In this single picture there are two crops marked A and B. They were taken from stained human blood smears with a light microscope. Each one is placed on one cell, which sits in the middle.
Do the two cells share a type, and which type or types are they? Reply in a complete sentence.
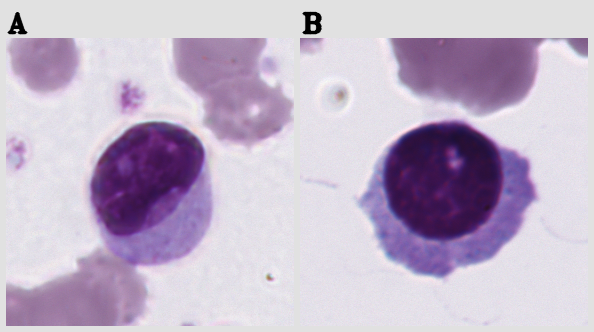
No, in crop B the central cell is a hairy cell, and in crop A it is a plasma cell.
